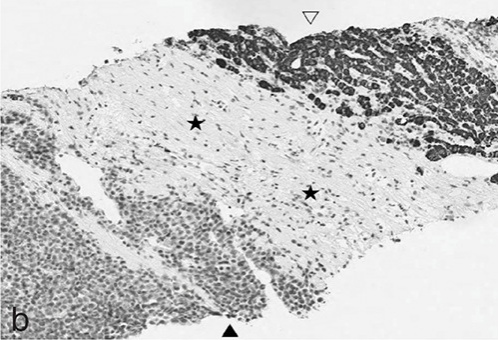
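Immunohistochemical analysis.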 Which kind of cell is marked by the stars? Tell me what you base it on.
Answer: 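The stars lie in a pale fibrous band crossing the middle of the panel. The band holds scattered elongated nuclei.
Hence: fibroblasts.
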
